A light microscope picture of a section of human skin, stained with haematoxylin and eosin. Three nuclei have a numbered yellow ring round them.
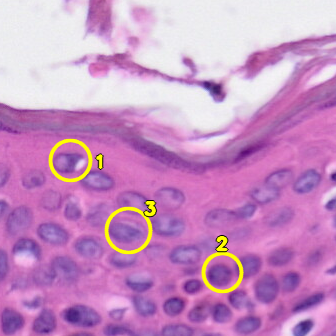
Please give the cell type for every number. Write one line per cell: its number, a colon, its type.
1: suprabasal keratinocyte
2: basal keratinocyte
3: suprabasal keratinocyte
